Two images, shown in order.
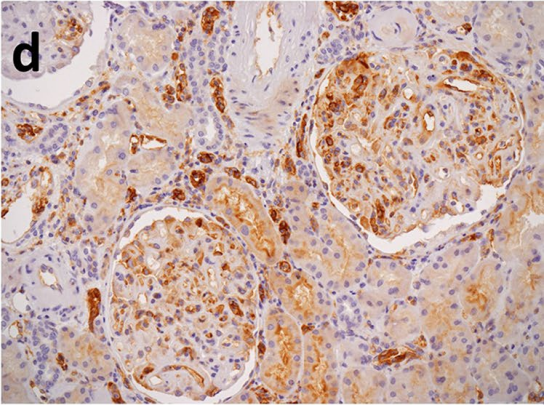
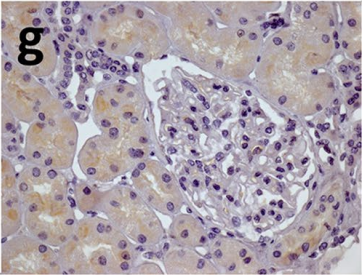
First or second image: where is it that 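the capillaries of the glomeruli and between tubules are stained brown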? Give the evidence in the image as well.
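The first image. Second image: the glomerulus and surrounding capillaries are blue with no brown. First image: brown stain outlines glomerular loops and channels between tubules.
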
